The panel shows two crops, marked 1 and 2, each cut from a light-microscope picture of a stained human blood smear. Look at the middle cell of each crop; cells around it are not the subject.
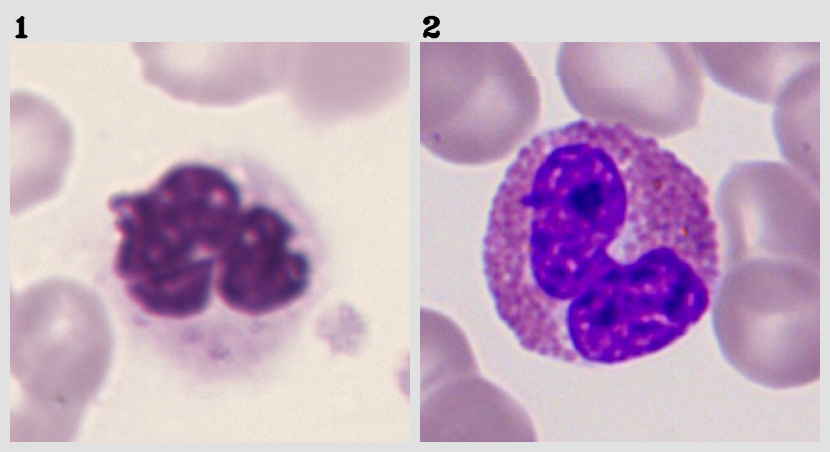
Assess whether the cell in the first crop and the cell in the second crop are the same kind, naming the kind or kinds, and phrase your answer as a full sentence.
No, it is crop 1 that shows a neutrophil, and crop 2 shows an eosinophil.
